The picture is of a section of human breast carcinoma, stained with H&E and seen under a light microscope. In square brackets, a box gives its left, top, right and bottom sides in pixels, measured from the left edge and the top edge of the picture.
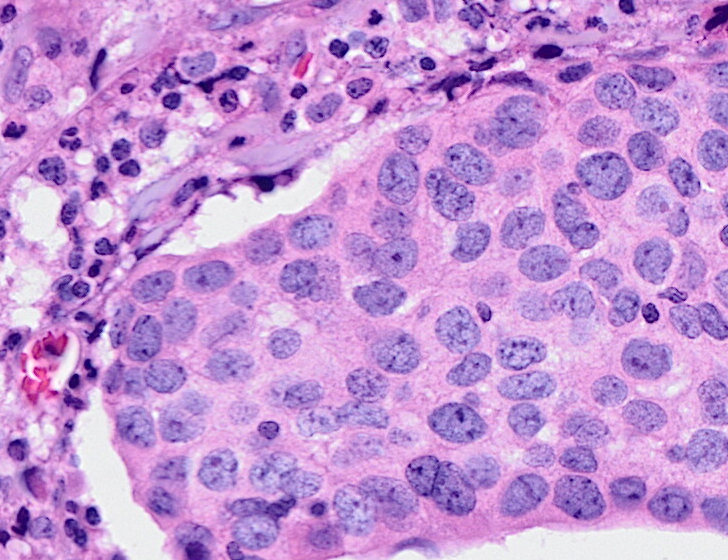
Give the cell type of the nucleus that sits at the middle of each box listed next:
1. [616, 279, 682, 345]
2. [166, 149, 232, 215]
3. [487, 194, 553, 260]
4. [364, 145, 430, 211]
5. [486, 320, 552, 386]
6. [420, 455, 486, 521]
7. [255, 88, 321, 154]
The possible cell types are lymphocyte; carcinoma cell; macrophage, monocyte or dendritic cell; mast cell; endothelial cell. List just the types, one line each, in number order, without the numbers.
lymphocyte
lymphocyte
carcinoma cell
carcinoma cell
carcinoma cell
carcinoma cell
lymphocyte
